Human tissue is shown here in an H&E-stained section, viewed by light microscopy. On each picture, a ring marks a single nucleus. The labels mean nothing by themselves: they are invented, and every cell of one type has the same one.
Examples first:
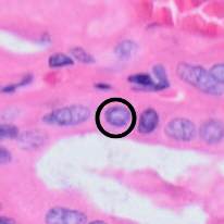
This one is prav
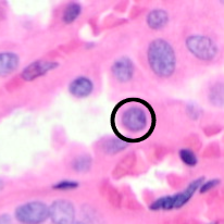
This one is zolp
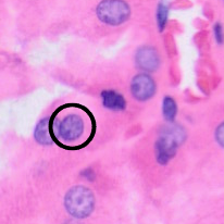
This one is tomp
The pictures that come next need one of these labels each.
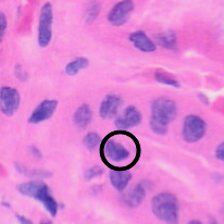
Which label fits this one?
prav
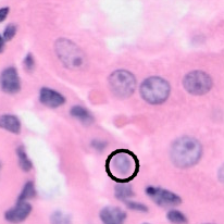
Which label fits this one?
prav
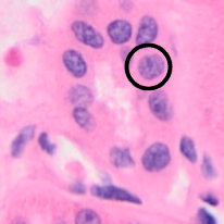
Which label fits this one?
prav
